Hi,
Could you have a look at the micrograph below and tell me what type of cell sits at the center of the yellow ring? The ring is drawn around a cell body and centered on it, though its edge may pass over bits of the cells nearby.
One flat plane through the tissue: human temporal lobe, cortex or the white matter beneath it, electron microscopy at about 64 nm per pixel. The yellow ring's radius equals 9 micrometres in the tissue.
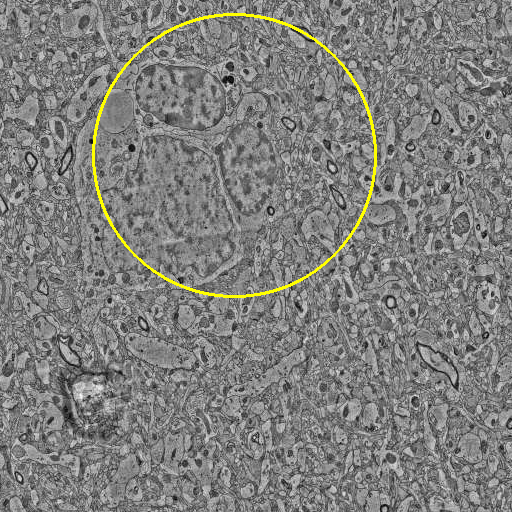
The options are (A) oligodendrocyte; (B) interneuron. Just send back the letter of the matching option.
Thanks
A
